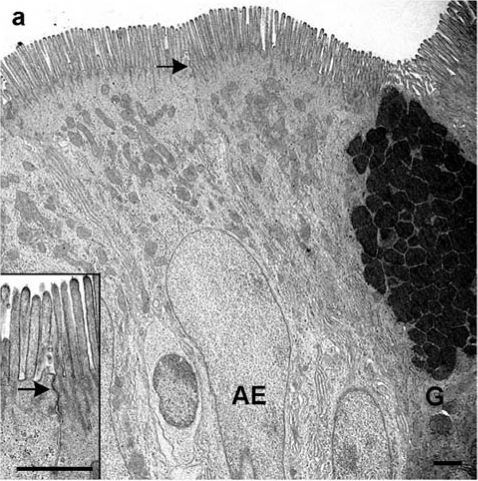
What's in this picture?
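Intestinal absorptive epithelial cells in close contact, capped by a brush border of long, regular, densely packed microvilli. On the right a goblet cell is packed with numerous dark, closely crowded secretory granules. An inset enlarges the apical surface, showing tall parallel microvilli and a closely apposed junction between neighbouring cells just below them.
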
